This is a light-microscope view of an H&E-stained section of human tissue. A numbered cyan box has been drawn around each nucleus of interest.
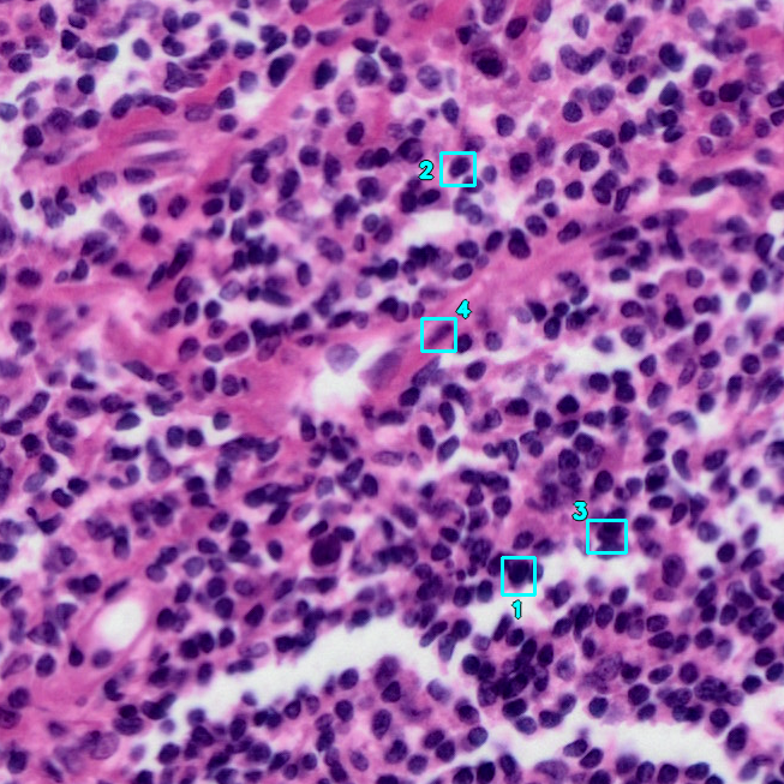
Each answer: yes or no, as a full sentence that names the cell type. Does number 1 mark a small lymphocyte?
Yes, that is correct: the cell numbered 1 is a small lymphocyte.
